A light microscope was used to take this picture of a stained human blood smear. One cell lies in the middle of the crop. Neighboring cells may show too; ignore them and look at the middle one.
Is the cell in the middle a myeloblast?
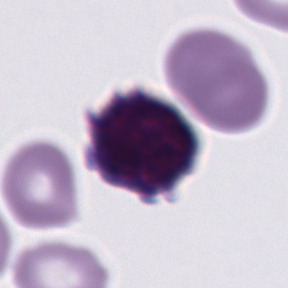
yes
